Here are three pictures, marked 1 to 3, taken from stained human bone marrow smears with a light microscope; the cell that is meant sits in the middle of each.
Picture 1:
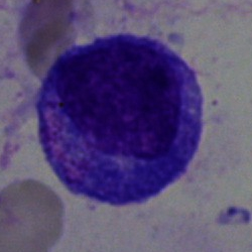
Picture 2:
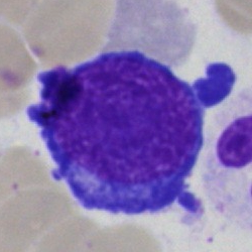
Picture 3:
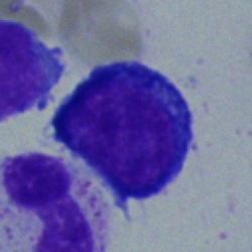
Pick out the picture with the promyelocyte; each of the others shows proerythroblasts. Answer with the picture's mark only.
1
